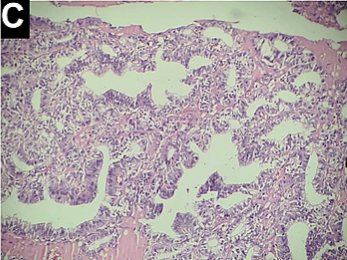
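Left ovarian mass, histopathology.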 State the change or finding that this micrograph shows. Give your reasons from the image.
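Crowded epithelial cells form branching fronds around irregular clear spaces. Nuclei are densely packed and appear to overlap. That points to this answer: malignant papillary arrangement.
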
